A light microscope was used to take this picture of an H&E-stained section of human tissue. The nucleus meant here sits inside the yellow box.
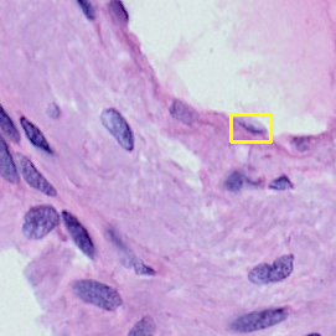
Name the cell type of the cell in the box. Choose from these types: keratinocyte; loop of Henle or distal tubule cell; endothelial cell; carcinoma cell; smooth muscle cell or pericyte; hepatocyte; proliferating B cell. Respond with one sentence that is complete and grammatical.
Cytologically, the cell in the box is to be regarded as an endothelial cell.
